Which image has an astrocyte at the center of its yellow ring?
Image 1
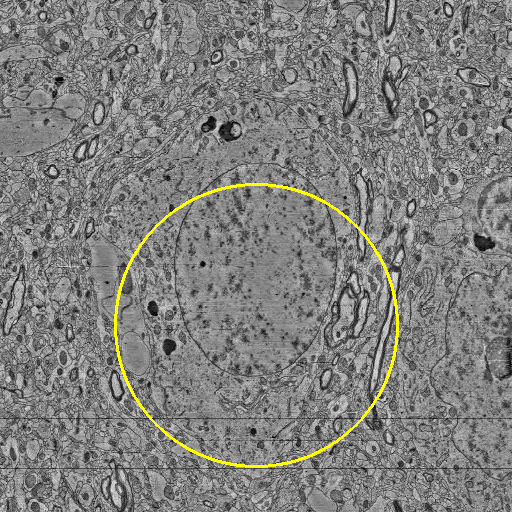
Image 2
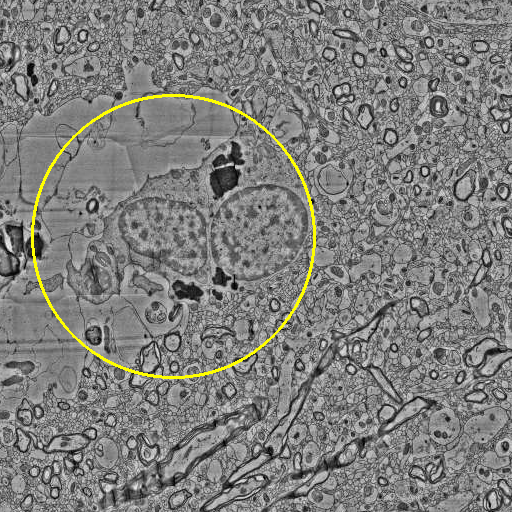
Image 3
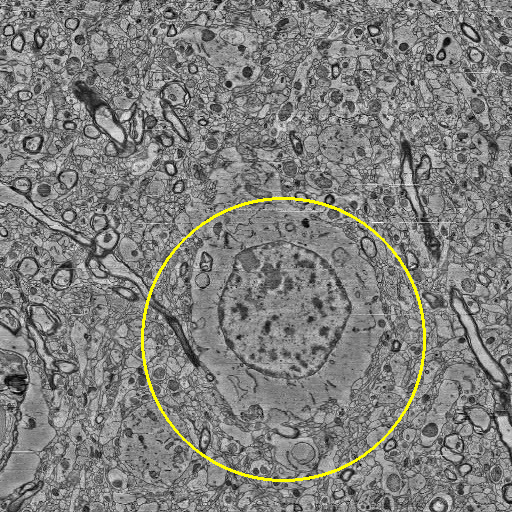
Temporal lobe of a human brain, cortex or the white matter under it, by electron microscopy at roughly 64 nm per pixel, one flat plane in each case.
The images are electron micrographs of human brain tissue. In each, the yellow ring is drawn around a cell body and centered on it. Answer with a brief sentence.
It is at the center of the ring in Image 3.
